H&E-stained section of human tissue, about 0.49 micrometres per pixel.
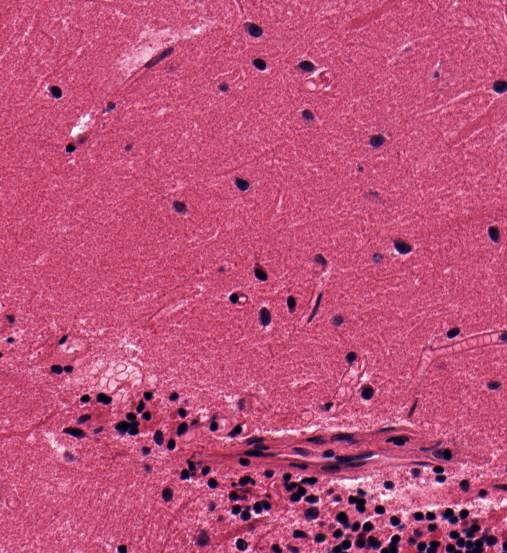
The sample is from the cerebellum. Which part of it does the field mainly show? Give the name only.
molecular layer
